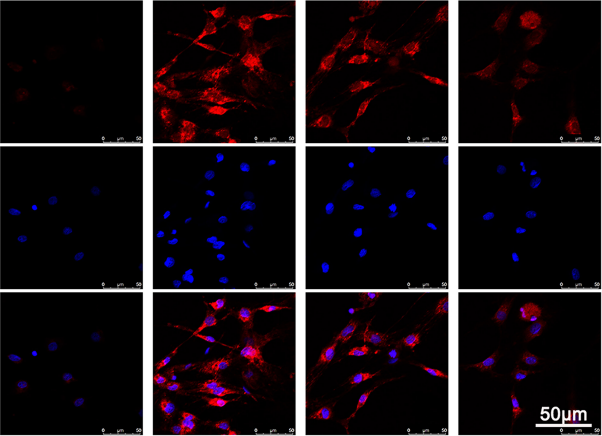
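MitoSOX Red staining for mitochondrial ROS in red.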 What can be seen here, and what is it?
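This is a grid of fluorescence images of cultured cells arranged in three rows and four columns. The top row shows a red channel, the middle row a blue channel, and the bottom row the two channels overlaid. Each cell has a single oval nucleus stained blue, and the red signal is granular and lies in the cytoplasm around the nucleus and along the cell extensions. Many of the cells are elongated or spread, with tapering processes. The red signal is faint in the first column, strongest and most widespread in the second column, and weaker in the third and fourth columns.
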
